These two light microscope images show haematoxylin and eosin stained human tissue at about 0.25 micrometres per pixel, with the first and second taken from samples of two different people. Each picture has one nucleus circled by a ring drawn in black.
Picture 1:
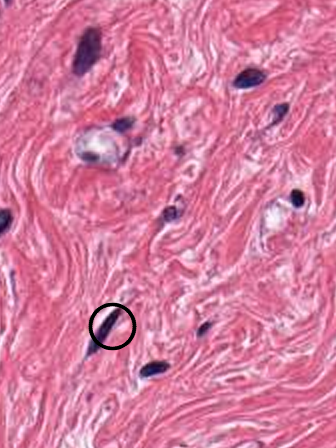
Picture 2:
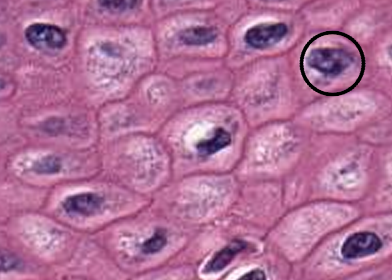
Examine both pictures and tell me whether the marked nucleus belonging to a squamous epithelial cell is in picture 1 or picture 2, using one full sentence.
Shown in picture 2 is a marked nucleus belonging to a squamous epithelial cell.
